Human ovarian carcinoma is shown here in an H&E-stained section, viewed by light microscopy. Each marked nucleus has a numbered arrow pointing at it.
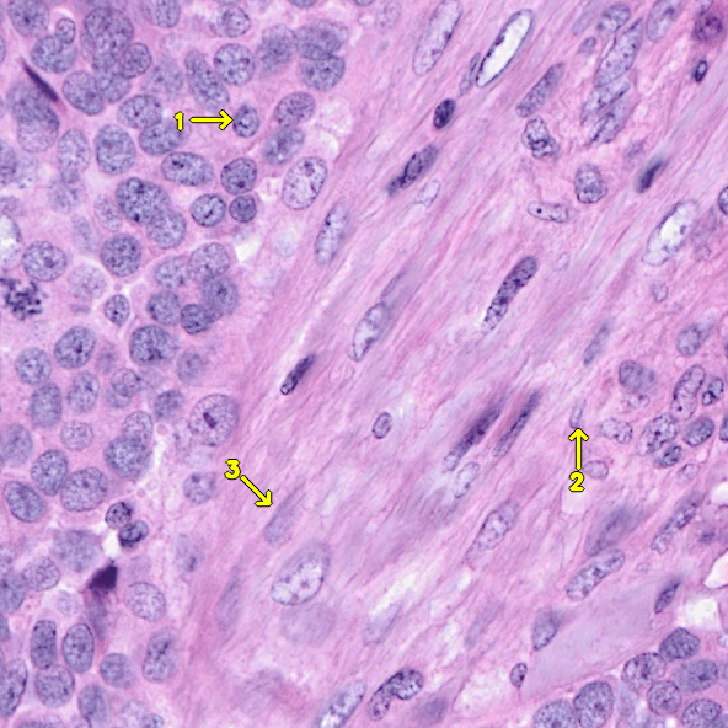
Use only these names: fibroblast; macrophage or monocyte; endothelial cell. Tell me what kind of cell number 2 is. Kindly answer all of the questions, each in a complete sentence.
The marked nucleus 2 is that of a fibroblast.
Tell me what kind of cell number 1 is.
The cell pointed out by number 1 is a macrophage or monocyte.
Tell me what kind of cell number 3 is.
Regarding cell 3, this one is a fibroblast.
